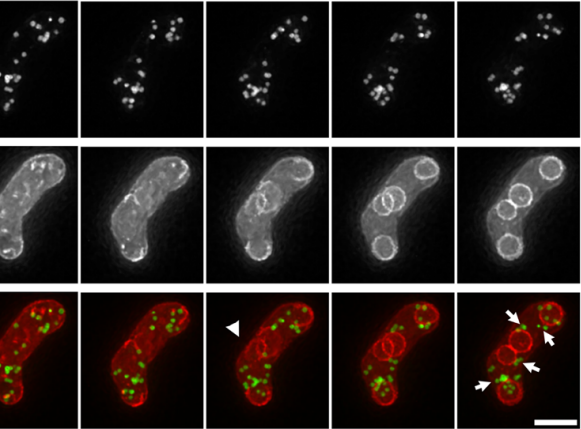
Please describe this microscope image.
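A sequence of images of one curved, rod-shaped cell with forming forespores. Rows show the green channel alone, the red channel alone, and the two merged. Red membrane profiles, at first crescent-shaped and irregular along the cell edge, close over the sequence into four round rings spaced along the cell. Many small, round green dots are scattered through the cytoplasm in loose groups rather than tight clusters; in the later merged frames several dots lie outside the red rings, in the space between them, and one ring carries few green dots. A faint red outline marks the cell periphery.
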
